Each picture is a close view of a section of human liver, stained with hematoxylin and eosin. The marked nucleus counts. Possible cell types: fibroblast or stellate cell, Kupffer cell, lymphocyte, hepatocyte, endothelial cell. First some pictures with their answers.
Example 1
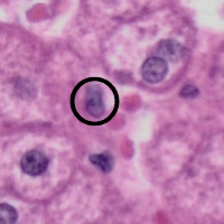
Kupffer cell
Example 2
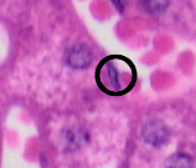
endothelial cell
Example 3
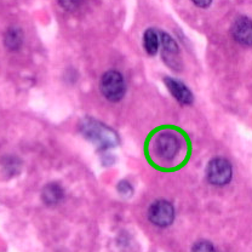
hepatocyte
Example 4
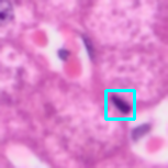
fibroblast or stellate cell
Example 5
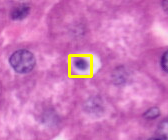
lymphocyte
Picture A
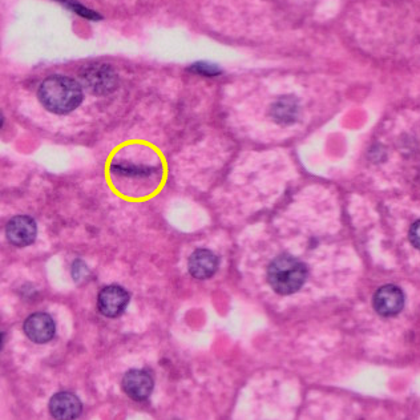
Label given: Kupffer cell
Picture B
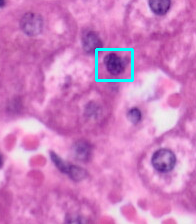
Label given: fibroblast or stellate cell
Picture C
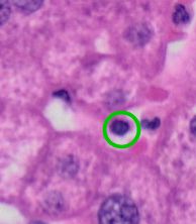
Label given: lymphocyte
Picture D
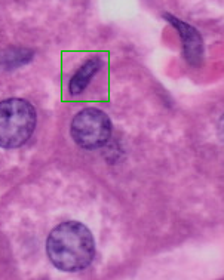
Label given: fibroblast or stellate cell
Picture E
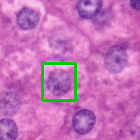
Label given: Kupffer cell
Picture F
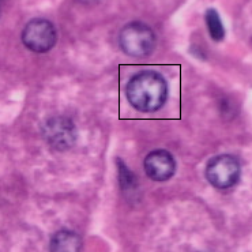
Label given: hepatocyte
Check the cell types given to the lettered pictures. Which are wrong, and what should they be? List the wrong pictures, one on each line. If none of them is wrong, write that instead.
A: not Kupffer cell but fibroblast or stellate cell
E: not Kupffer cell but hepatocyte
